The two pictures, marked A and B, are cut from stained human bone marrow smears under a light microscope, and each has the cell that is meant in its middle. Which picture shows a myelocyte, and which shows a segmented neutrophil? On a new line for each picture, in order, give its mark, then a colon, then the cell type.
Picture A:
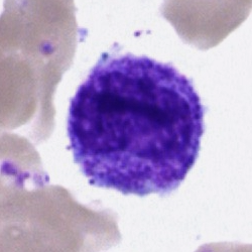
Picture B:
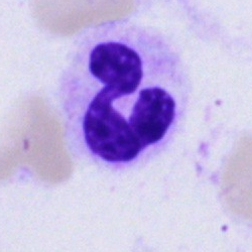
A: myelocyte
B: segmented neutrophil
